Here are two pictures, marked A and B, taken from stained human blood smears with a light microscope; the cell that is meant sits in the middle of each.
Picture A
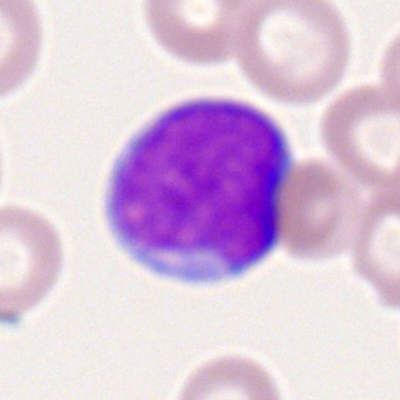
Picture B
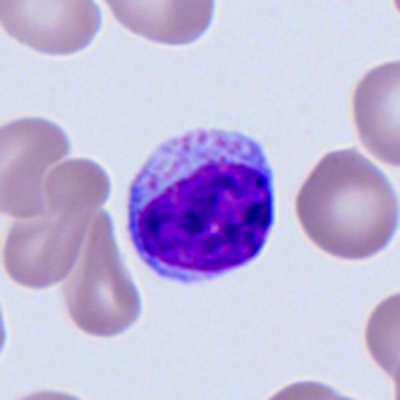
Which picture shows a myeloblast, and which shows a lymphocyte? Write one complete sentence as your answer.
Picture B shows a lymphocyte, while picture A shows a myeloblast.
